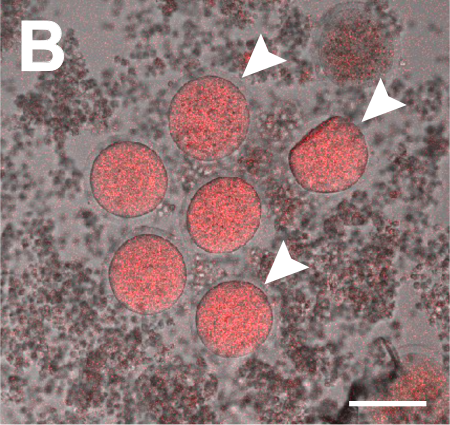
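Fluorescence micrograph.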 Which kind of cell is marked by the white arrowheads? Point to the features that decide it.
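The arrowheads point to large round cells far bigger than the many small cells around them. Each marked cell is filled with red and surrounded by a clear rim.
Conclusion: oocytes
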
